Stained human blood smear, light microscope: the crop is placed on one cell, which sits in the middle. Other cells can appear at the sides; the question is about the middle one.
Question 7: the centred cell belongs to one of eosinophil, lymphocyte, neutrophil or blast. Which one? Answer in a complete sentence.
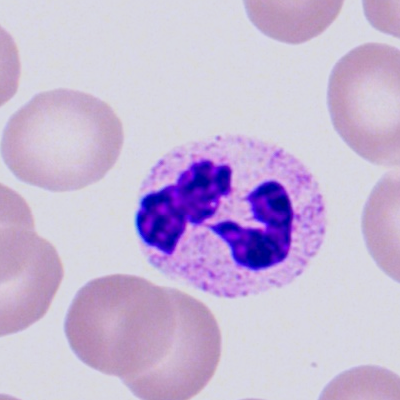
To answer, the cell in the center of the crop is a neutrophil.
